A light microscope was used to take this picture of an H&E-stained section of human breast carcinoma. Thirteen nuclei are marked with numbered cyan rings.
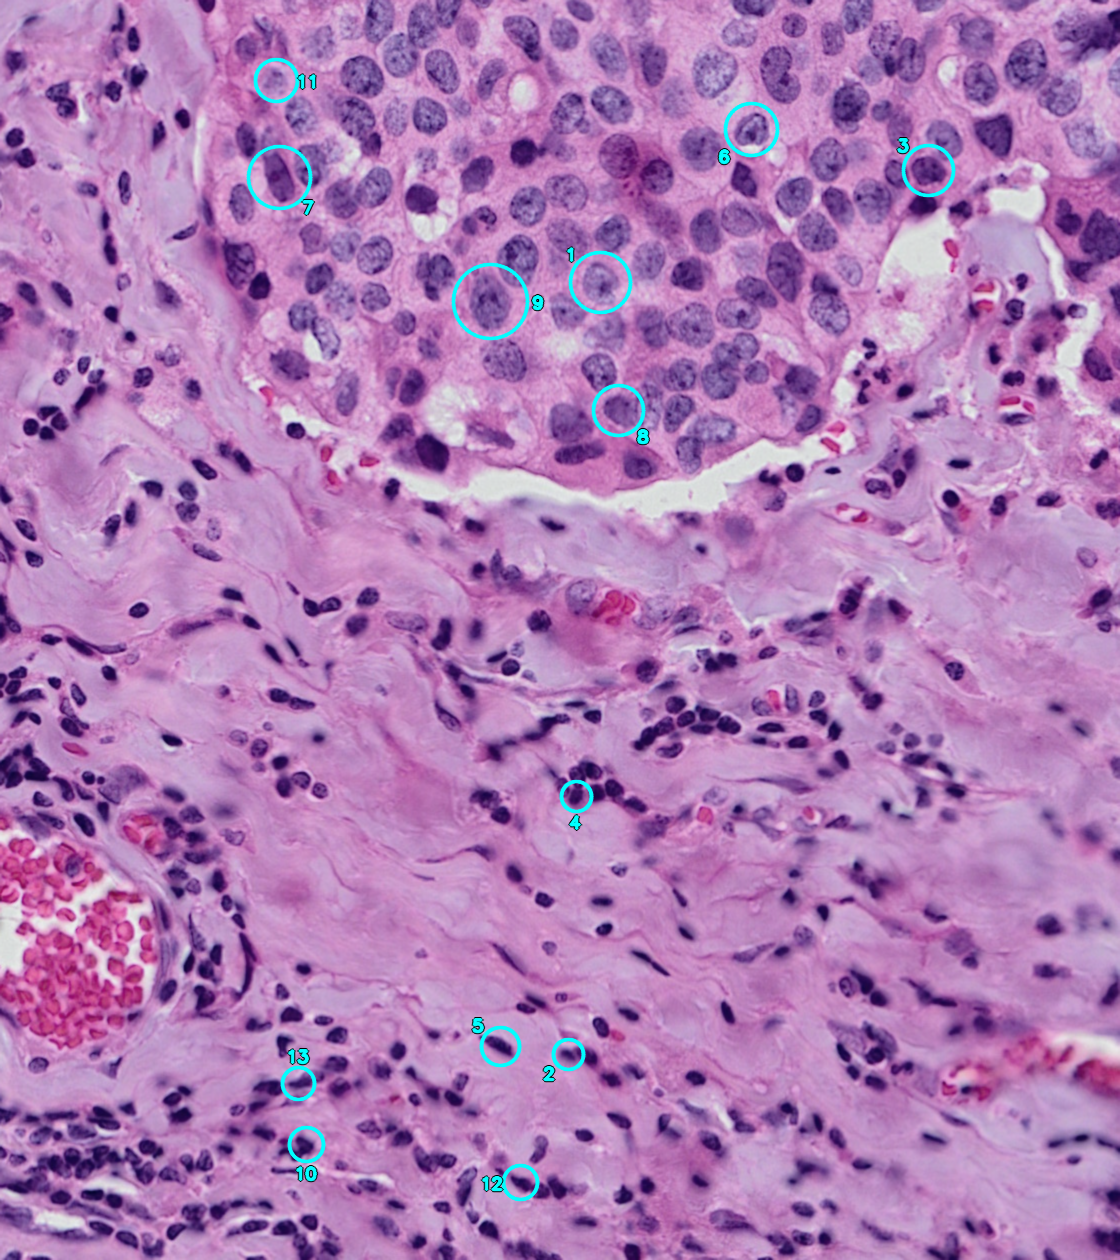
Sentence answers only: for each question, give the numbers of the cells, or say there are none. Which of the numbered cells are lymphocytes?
The cells numbered 2, 4, 5, 10, 12 and 13 are typed as lymphocytes.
